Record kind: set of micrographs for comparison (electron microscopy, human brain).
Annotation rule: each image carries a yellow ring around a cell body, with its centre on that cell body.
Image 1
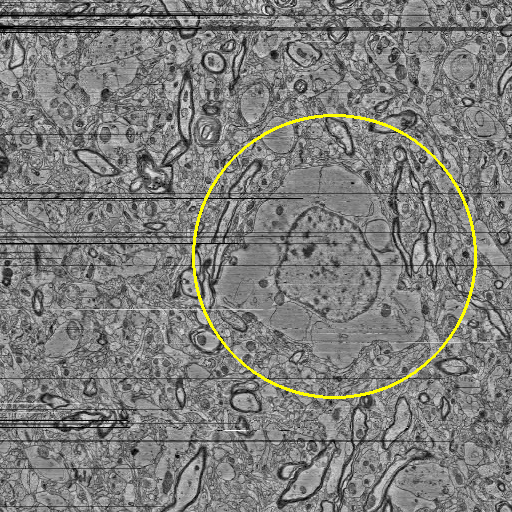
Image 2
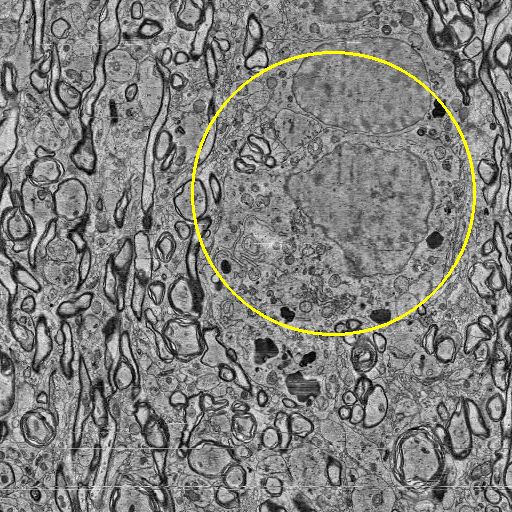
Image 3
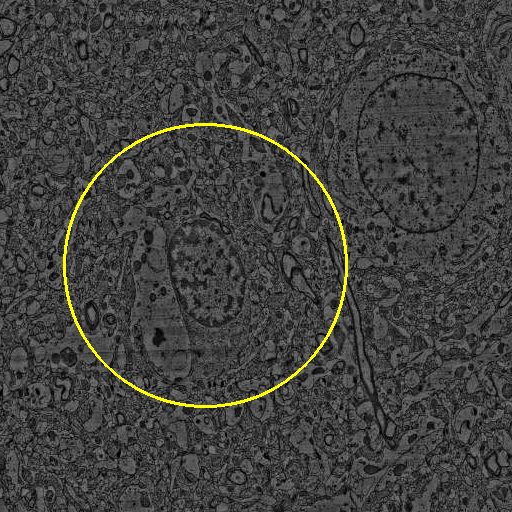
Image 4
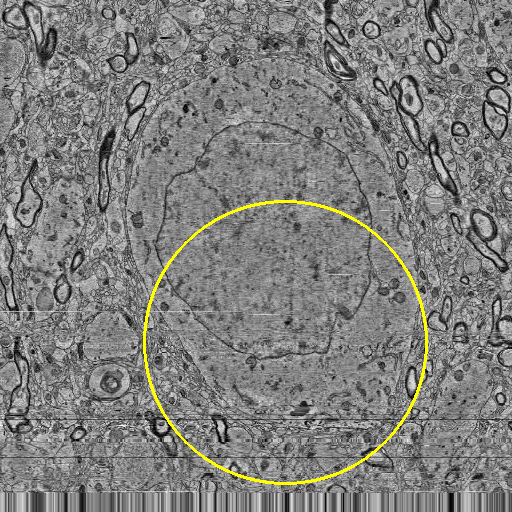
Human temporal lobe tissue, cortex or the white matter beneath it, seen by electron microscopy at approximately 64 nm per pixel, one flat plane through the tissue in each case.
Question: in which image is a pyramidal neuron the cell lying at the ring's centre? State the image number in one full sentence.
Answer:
In image 4, the ring is centred on the cell in question.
